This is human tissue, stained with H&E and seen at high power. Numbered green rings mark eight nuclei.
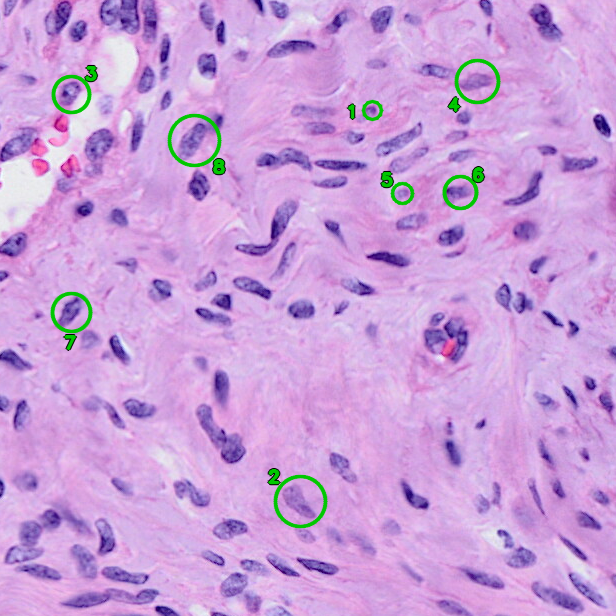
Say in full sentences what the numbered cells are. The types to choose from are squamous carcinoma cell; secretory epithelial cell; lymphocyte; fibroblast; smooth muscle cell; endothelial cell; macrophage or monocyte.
Cells 1, 4, 5 and 6 are smooth muscle cells. Cells 2, 7 and 8 are fibroblasts. Cell 3 is an endothelial cell.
